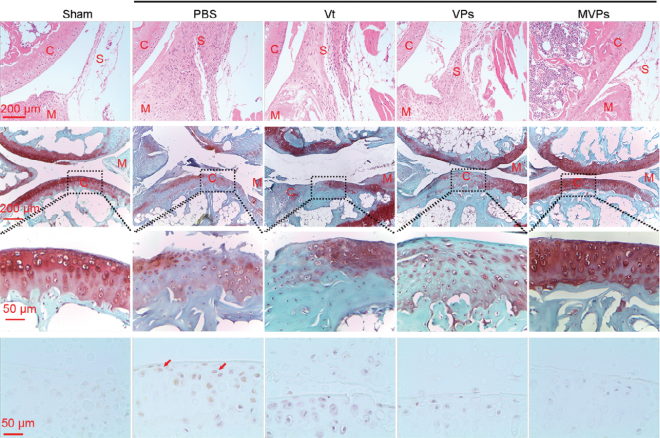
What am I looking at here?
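This grid of knee-joint sections shows articular cartilage, meniscus and synovium. In the top row, pink-stained tissue shows the synovial lining and fibrous tissue lying beside the cartilage. In the middle rows, the cartilage matrix stains red to orange against green-blue bone and soft tissue, and in some columns the red matrix is paler or lost at the surface. In the enlarged views, rounded chondrocytes sit in lacunae. In the bottom row, cartilage cells lie in a pale matrix, and some of their nuclei or cytoplasm are stained brown.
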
